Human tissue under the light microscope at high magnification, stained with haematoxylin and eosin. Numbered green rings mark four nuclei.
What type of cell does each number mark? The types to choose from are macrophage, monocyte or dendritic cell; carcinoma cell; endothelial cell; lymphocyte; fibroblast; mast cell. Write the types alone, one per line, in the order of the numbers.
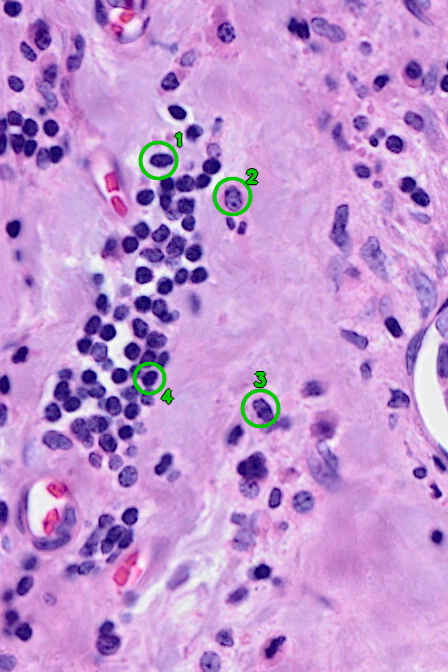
lymphocyte
mast cell
lymphocyte
lymphocyte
